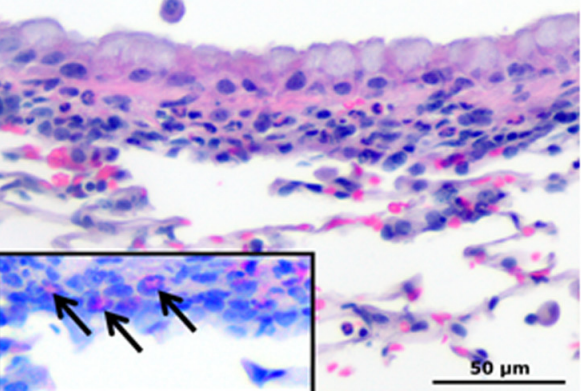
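Airway epithelium of tall columnar cells with pale apical cytoplasm overlies a thickened layer crowded with nucleated cells. Below lie alveolar septa with scattered red blood cells. In the inset, cells with pink-red granules are scattered in a blue-stained band of tissue.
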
